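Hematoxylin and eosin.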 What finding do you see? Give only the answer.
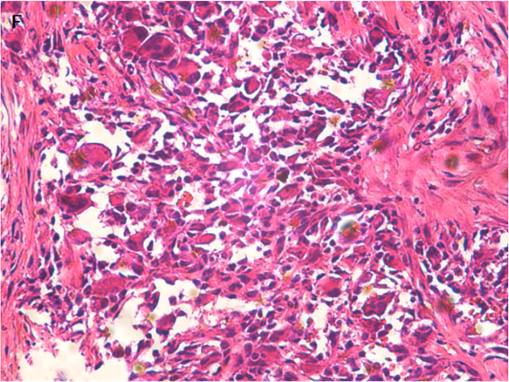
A: pleomorphic changes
